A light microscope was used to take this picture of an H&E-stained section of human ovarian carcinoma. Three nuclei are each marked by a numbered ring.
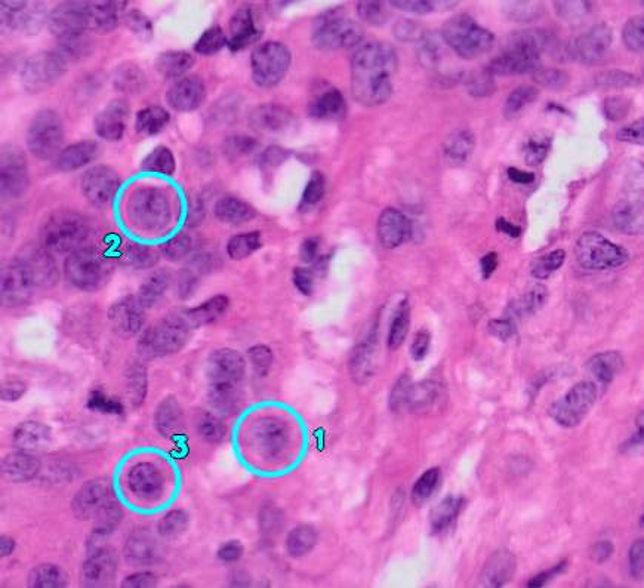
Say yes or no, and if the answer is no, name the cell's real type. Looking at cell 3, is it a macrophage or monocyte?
Yes.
